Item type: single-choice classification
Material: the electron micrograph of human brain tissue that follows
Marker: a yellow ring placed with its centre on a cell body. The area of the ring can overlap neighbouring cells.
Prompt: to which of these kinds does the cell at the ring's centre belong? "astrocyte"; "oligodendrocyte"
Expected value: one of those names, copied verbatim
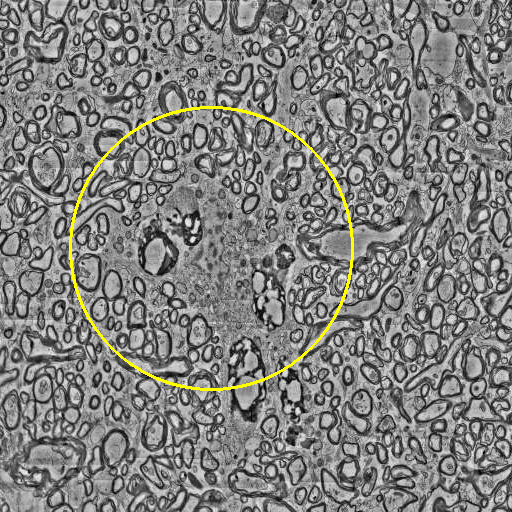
astrocyte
